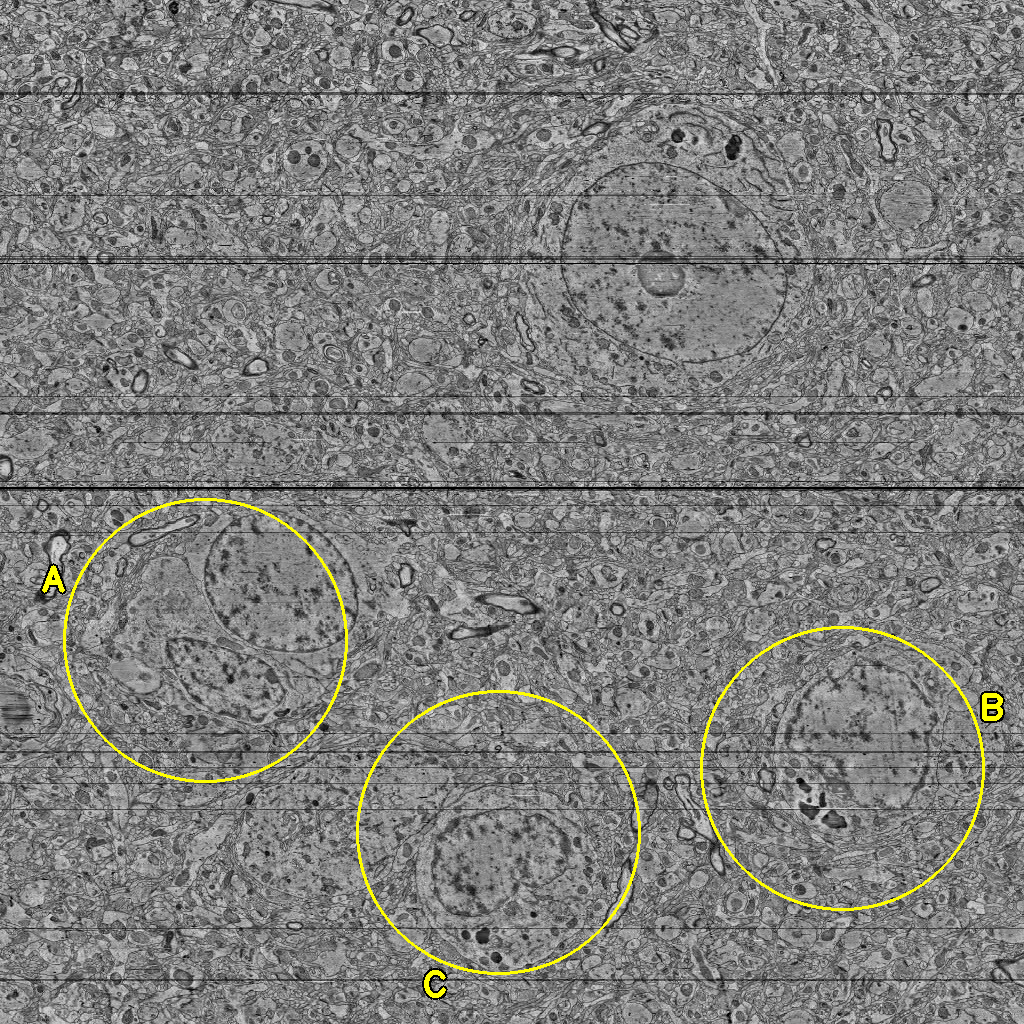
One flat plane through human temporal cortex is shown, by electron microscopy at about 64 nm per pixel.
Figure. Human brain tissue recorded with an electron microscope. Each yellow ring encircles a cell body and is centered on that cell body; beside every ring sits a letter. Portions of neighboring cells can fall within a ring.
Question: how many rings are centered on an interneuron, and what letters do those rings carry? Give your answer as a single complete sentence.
The two rings accompanied by the letters B and C each have an interneuron as their centre.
